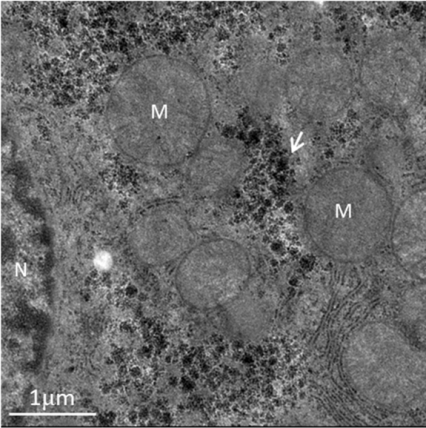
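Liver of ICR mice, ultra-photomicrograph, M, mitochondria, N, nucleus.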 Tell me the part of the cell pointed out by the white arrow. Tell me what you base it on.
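Glycogen. The arrow points to a dense cluster of dark small granules lying between mitochondria. The granules form irregular aggregates rather than membrane-bound organelles.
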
